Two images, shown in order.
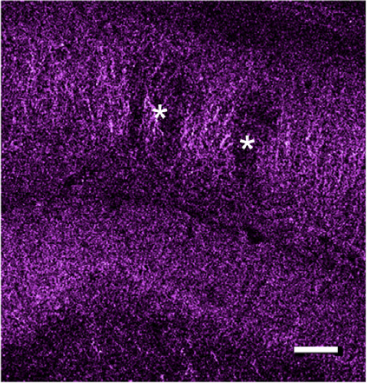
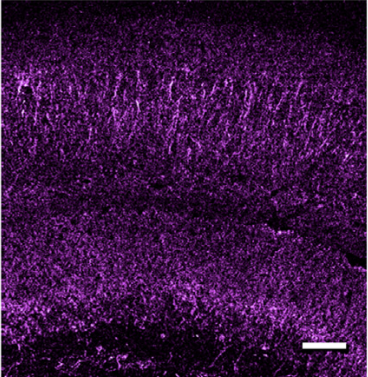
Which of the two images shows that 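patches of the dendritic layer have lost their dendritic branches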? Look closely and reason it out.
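Second image: fine parallel magenta streaks run unbroken across the upper layer. First image: the magenta streaks are broken by dark gaps in places. On this evidence: the first image.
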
